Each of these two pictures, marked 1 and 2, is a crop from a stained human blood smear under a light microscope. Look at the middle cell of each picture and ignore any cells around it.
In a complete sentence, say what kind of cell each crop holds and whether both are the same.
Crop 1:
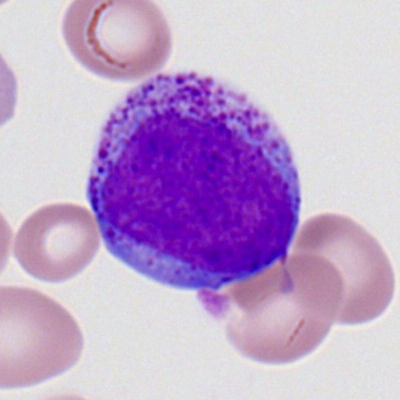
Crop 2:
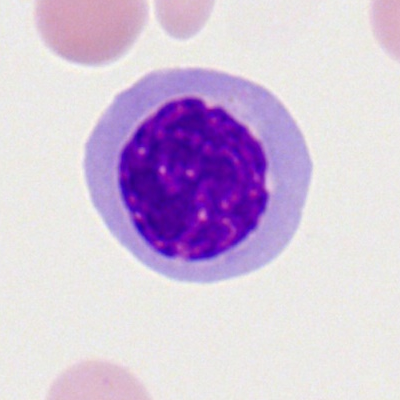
No, crop 1 is of a myeloblast, and crop 2 is of an erythroblast.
